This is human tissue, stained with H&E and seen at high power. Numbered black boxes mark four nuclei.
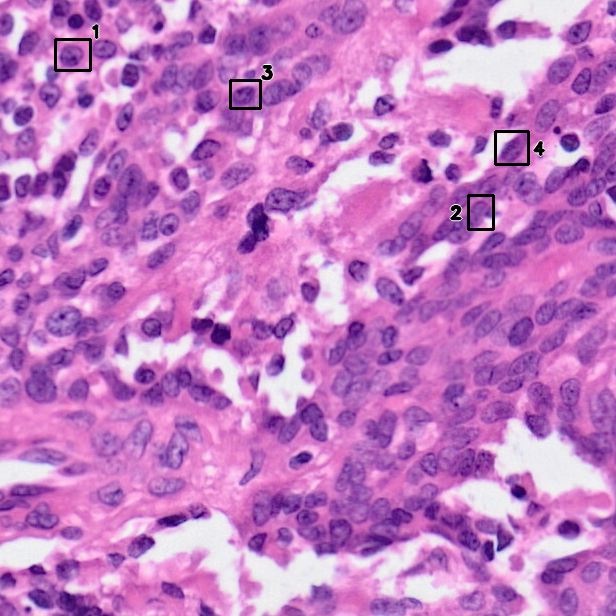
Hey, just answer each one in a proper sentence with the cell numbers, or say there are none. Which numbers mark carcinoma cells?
The cells 2, 3 and 4 in this section are carcinoma cells.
